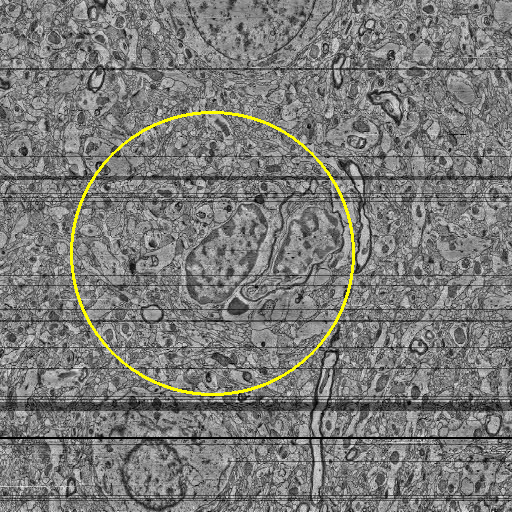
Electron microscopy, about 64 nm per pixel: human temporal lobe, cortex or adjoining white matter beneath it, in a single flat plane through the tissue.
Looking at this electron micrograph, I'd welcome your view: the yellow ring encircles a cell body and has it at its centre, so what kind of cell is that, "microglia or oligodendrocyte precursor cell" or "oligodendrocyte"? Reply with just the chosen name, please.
microglia or oligodendrocyte precursor cell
